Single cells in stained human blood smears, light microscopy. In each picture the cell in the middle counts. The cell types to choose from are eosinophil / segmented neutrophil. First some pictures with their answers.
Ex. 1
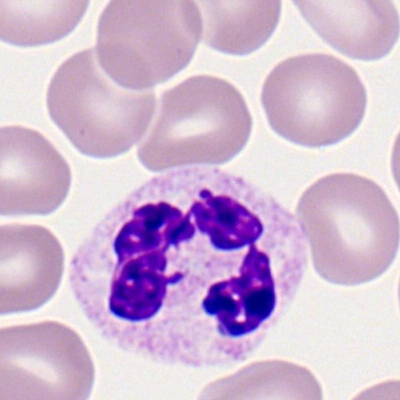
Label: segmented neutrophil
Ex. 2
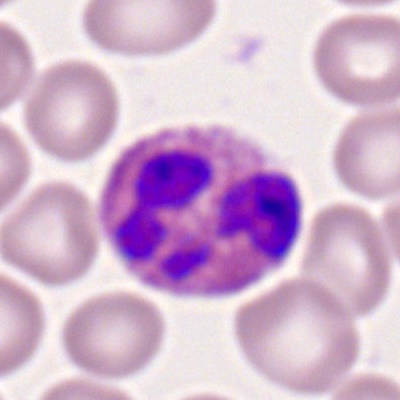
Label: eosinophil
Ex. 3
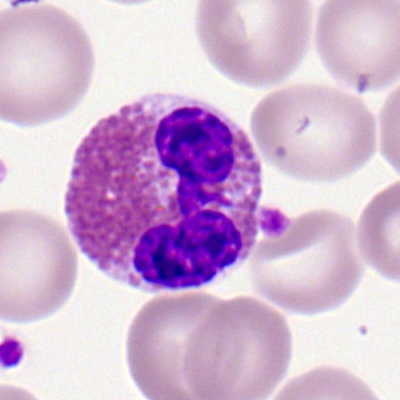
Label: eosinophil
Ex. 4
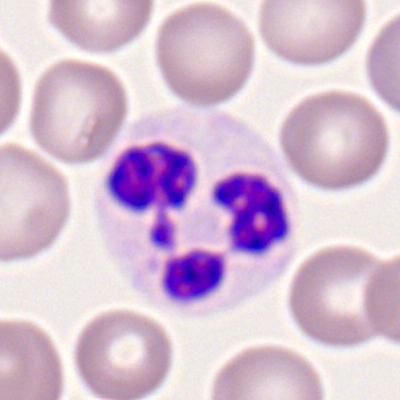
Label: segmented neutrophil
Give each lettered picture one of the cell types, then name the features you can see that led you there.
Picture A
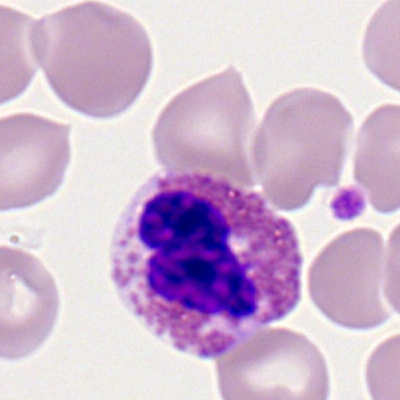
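eosinophil. Reason: The granules are coarse and spread throughout the cytoplasm.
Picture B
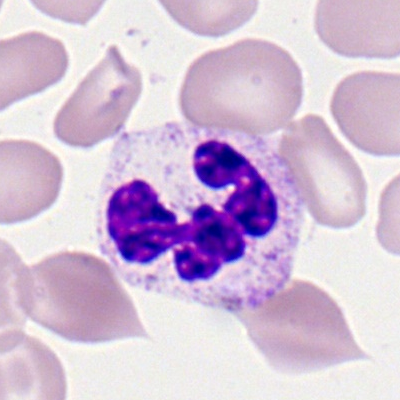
segmented neutrophil. Reason: Fine lilac granules are scattered throughout the cytoplasm.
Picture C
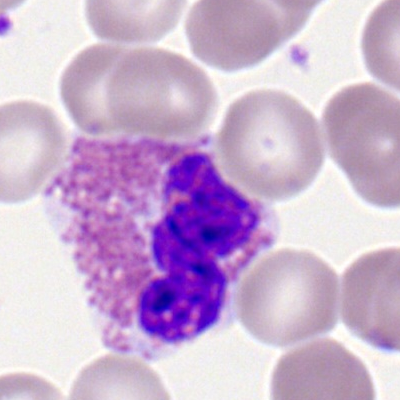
eosinophil. Reason: The granules are coarse and fairly uniform in size.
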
